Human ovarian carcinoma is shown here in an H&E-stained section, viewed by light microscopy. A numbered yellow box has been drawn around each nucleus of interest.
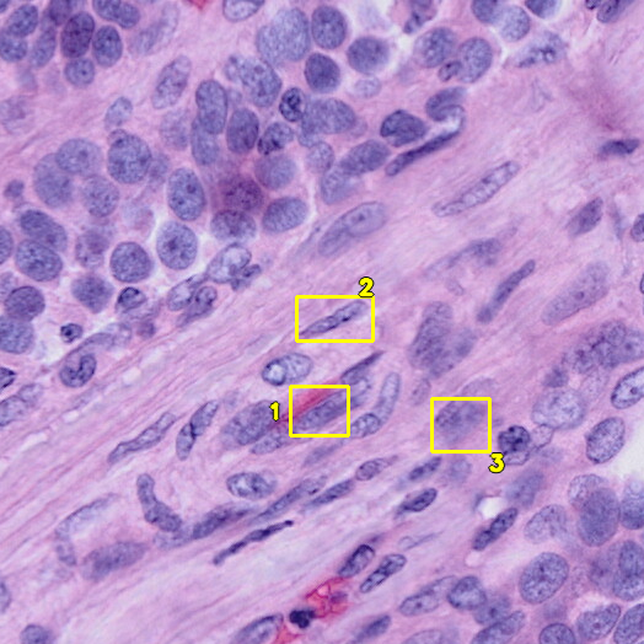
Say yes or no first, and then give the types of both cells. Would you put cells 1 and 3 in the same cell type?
No, cell 1 is an endothelial cell and cell 3 is a fibroblast.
